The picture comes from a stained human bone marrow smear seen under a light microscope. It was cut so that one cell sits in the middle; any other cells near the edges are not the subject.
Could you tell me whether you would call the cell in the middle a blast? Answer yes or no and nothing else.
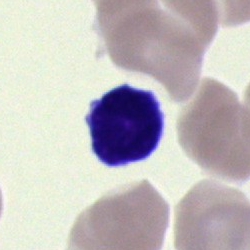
no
